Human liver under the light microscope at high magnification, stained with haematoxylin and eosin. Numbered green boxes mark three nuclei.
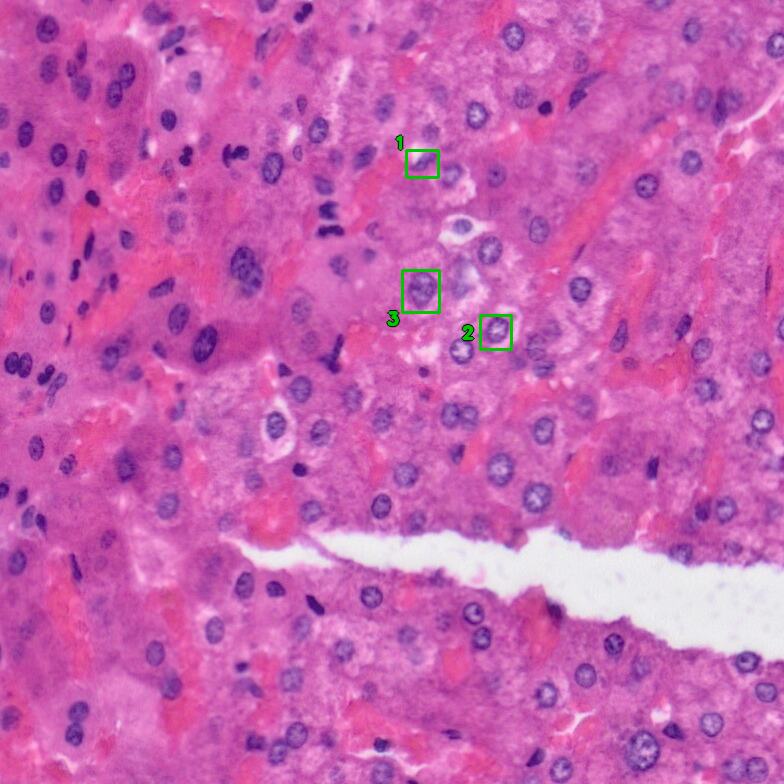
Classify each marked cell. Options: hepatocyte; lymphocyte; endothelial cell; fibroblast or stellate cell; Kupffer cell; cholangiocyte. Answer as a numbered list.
1. endothelial cell
2. hepatocyte
3. hepatocyte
